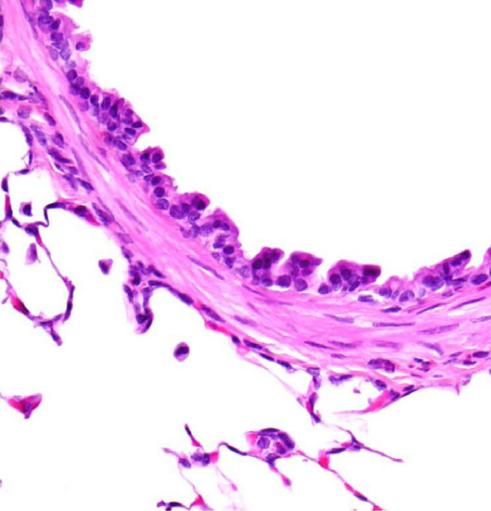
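Airway wall cut in cross-section, with a lining epithelium, an underlying pink wall layer and surrounding lung parenchyma. Outside the wall, thin alveolar septa enclose empty air spaces. No dense clusters of inflammatory cells are visible in the wall.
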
